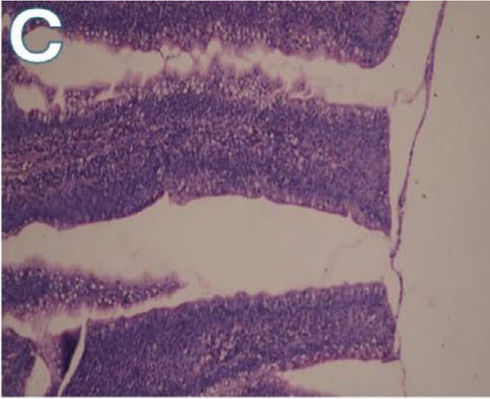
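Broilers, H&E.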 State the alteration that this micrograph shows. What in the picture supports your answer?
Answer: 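The villi are broad with squared-off, flat tips. The tips end abruptly rather than tapering. The answer: blunt ends of intestinal villi.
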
